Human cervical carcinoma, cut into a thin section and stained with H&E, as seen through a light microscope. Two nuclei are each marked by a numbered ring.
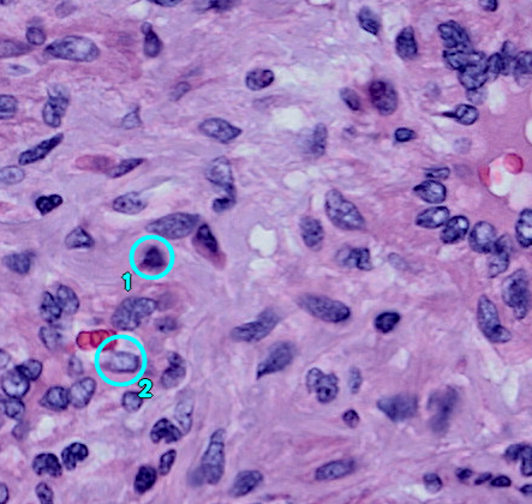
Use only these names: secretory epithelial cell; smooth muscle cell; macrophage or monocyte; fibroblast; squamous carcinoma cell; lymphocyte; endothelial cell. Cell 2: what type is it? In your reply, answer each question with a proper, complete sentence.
Within this field of view, the cell labelled 2 is an endothelial cell.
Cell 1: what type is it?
The correct label for cell 1 is a lymphocyte.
